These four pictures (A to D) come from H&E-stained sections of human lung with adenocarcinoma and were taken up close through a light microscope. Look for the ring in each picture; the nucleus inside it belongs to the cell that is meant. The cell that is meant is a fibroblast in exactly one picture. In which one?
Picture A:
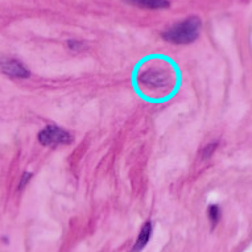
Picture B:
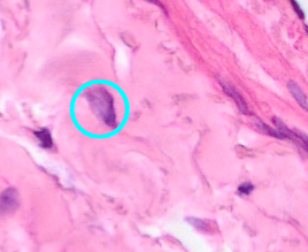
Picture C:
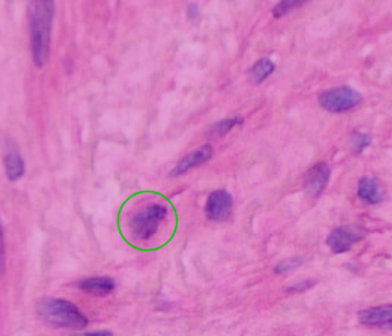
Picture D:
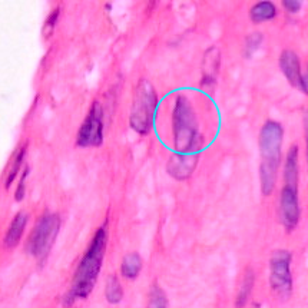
B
